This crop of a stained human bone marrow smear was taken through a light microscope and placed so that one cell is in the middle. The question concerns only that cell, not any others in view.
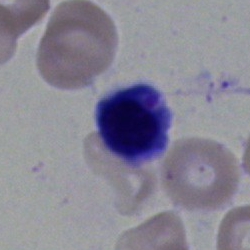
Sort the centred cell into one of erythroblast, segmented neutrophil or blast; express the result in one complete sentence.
Answering briefly, the cell in the middle is an erythroblast.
